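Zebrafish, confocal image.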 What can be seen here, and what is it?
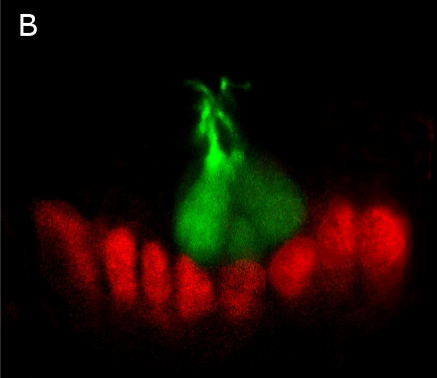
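A side view of a lateral line neuromast shows a basal row of red, elongated nuclei. Above them sits a cluster of pear-shaped green hair cells, from whose apical ends thin bundles project upward. The green and red labels lie in separate cells and do not overlap.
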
